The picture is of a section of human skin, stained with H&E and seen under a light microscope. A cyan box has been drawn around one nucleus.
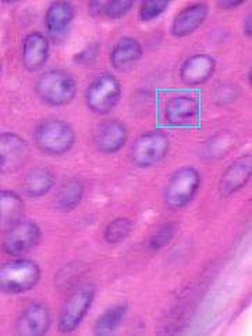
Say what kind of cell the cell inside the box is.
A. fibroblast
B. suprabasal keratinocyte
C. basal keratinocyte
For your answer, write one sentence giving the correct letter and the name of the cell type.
In this item, the cell inside the box is a suprabasal keratinocyte, and option B is right.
